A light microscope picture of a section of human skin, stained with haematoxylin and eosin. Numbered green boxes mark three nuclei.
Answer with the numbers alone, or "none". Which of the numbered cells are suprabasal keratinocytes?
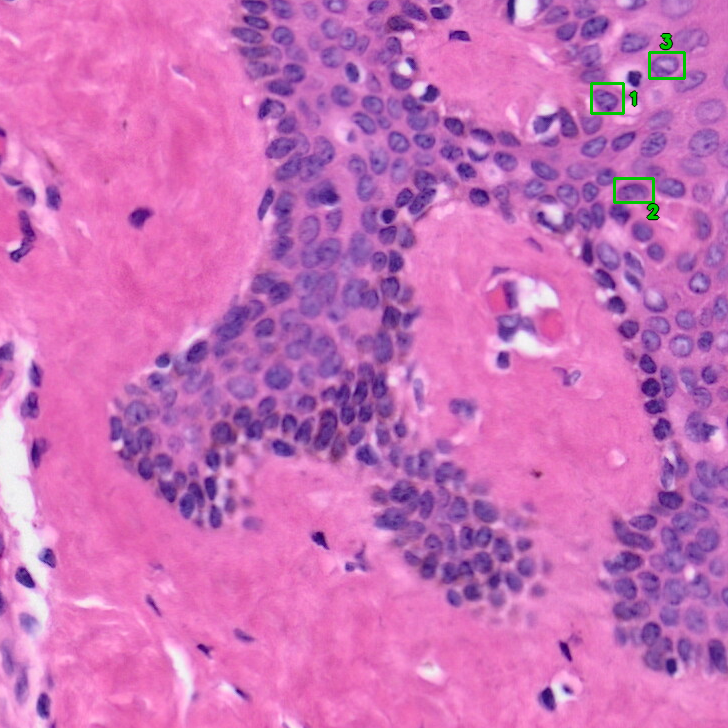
3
